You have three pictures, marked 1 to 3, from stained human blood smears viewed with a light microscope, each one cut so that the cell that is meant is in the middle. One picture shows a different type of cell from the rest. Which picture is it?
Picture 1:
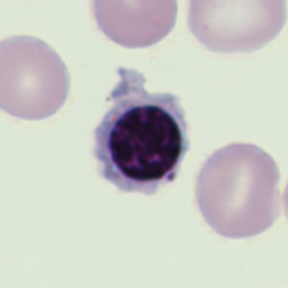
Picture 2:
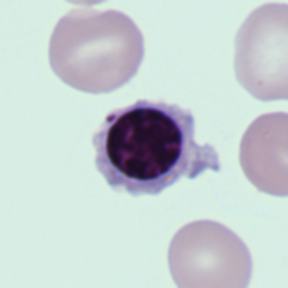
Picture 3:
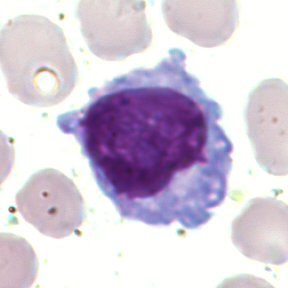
3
